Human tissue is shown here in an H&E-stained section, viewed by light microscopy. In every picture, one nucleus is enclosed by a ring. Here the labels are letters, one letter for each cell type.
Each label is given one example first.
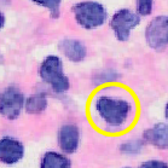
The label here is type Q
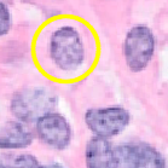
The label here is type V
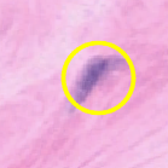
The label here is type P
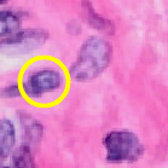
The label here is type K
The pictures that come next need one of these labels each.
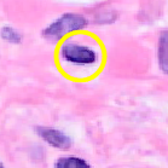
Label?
type Q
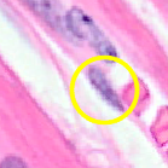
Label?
type K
